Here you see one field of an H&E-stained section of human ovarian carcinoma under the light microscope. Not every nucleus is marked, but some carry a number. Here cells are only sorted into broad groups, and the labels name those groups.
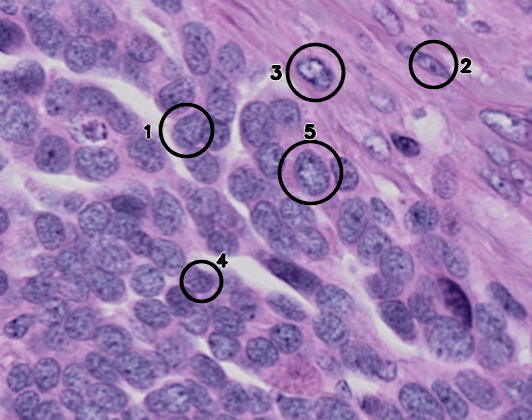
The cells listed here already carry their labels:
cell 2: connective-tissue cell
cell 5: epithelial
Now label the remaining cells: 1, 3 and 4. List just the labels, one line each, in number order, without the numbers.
epithelial
connective-tissue cell
epithelial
